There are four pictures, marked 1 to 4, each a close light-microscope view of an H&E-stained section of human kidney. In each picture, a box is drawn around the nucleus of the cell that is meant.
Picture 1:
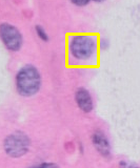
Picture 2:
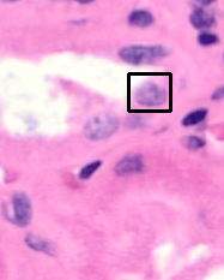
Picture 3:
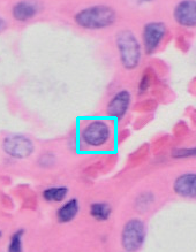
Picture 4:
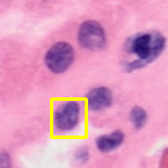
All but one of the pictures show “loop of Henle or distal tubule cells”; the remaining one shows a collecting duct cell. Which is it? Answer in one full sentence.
Picture 3 shows the collecting duct cell.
